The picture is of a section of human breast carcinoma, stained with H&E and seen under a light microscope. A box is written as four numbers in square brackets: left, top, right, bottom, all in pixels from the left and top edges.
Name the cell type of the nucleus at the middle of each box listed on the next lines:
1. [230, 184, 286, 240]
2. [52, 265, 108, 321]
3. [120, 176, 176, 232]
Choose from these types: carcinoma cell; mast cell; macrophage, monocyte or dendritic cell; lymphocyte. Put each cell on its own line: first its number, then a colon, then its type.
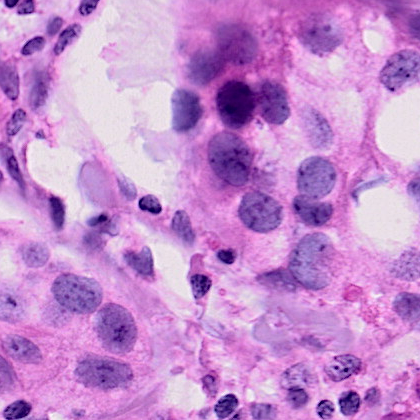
1: carcinoma cell
2: carcinoma cell
3: lymphocyte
